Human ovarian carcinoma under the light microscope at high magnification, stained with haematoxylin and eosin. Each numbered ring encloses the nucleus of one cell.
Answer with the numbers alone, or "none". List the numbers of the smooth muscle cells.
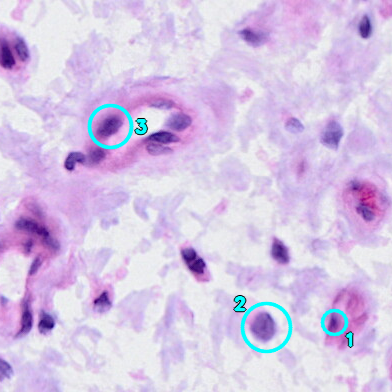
1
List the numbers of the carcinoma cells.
none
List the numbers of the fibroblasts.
2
